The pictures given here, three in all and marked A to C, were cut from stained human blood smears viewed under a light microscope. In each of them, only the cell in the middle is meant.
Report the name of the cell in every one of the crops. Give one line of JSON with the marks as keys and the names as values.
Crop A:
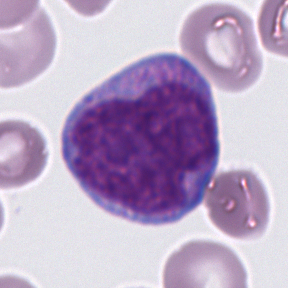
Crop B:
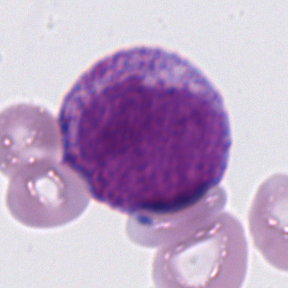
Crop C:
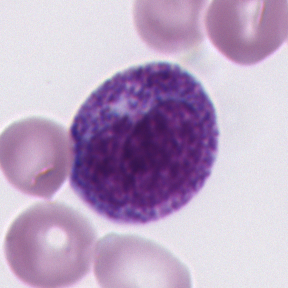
{"A": "atypical promyelocyte", "B": "promyelocyte", "C": "myelocyte"}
